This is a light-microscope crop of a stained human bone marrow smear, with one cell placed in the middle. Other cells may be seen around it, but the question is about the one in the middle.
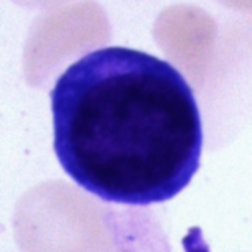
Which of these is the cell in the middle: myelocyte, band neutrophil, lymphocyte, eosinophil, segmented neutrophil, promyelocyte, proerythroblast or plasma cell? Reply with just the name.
proerythroblast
